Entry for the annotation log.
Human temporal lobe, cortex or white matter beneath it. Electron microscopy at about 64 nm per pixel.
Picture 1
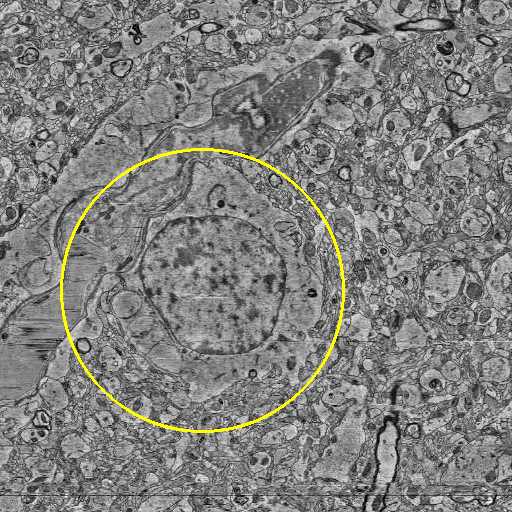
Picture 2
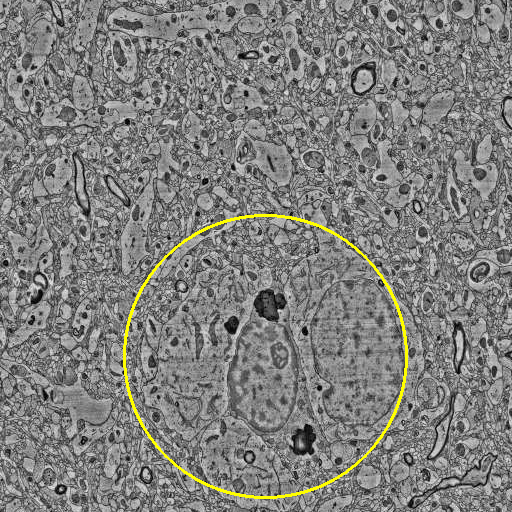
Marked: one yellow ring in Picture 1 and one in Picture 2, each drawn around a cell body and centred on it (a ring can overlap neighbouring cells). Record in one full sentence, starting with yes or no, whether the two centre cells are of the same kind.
No, the two cells are of two kinds.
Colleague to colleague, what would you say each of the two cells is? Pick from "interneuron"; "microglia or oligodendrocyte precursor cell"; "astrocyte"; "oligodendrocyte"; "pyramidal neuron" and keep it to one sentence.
The cell in the first picture is an astrocyte; the second picture's cell is an oligodendrocyte.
